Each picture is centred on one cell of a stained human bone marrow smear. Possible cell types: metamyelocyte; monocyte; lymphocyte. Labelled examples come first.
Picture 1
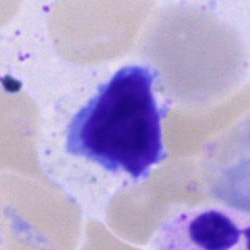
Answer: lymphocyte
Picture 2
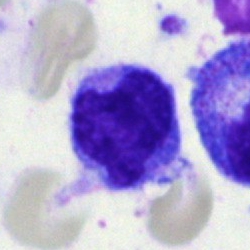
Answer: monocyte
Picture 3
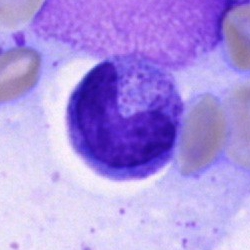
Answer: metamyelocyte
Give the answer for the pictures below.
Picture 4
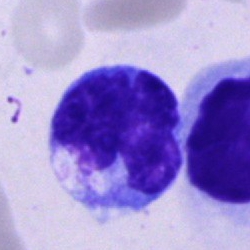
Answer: monocyte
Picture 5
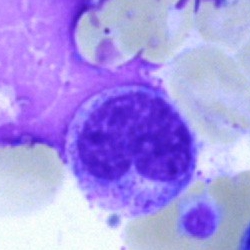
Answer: metamyelocyte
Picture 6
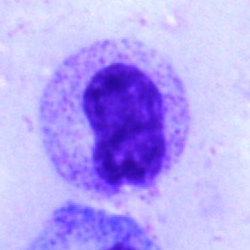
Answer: metamyelocyte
